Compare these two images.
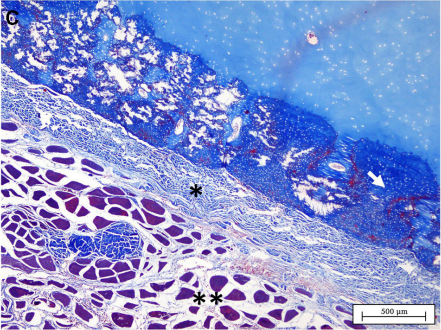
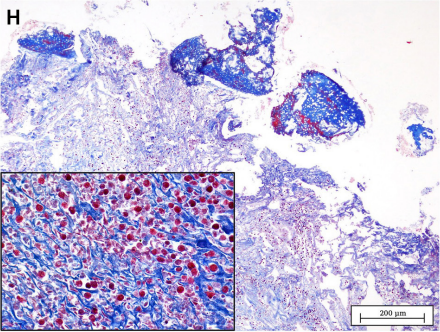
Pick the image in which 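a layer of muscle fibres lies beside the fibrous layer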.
The first image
